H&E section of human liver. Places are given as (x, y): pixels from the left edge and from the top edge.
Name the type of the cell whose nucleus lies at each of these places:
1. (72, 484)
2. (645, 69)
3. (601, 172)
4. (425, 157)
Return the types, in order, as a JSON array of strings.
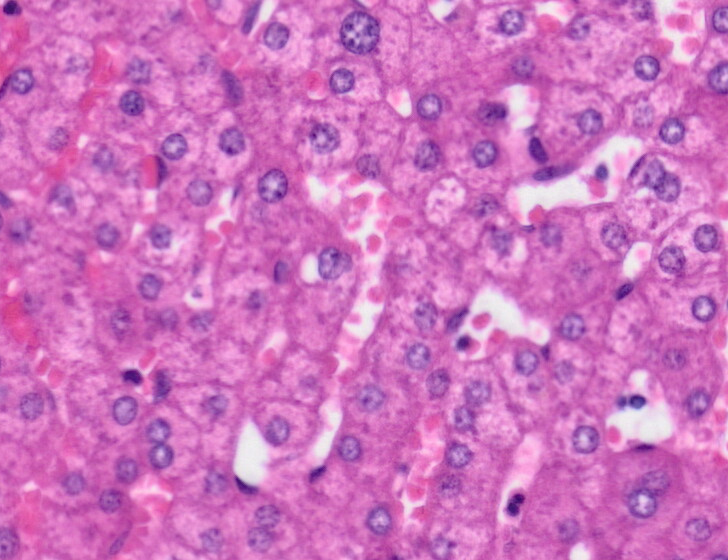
["hepatocyte", "hepatocyte", "lymphocyte", "hepatocyte"]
